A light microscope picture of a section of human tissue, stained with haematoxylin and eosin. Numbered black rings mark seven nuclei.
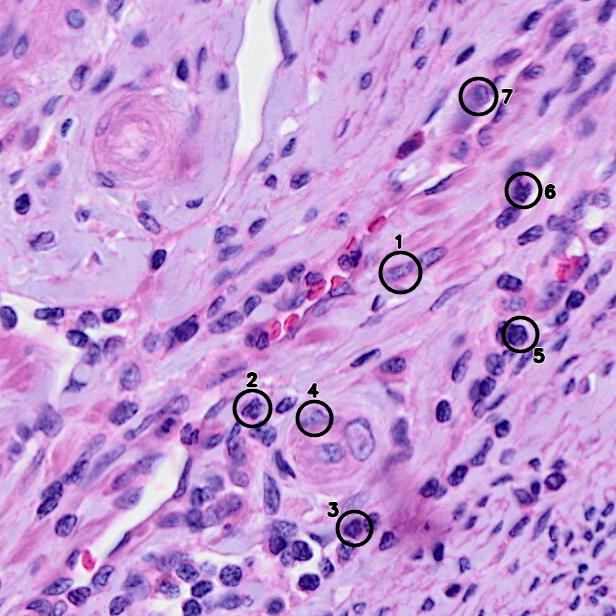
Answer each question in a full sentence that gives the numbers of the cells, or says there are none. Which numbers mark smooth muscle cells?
The identity of cells 1 and 4: they are smooth muscle cells.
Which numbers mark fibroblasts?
By cell type, the numbered cells include no fibroblasts.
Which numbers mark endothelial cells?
Only one choice fits: cell 7 is an endothelial cell, and no other.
